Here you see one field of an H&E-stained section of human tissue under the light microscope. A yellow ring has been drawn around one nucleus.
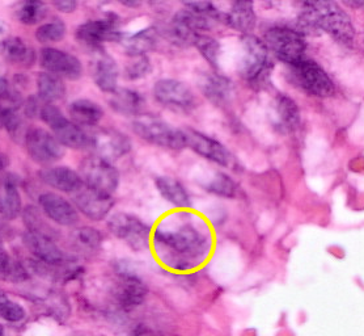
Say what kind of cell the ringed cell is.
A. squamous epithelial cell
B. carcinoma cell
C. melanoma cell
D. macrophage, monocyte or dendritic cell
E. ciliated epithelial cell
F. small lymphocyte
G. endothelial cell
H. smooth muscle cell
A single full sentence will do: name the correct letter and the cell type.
The accurate option is E, with the ringed cell being a ciliated epithelial cell.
